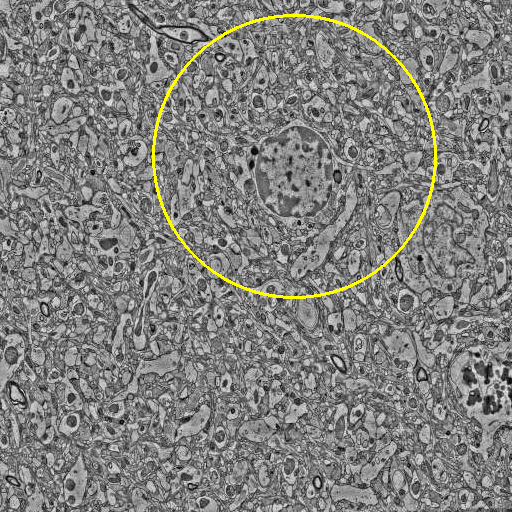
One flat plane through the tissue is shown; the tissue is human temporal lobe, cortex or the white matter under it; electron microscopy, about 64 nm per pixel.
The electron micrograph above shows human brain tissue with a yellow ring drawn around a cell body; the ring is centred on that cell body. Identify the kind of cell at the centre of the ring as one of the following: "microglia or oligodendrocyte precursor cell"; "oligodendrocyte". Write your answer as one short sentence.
The cell at the centre of the ring is a microglial cell or oligodendrocyte precursor cell.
